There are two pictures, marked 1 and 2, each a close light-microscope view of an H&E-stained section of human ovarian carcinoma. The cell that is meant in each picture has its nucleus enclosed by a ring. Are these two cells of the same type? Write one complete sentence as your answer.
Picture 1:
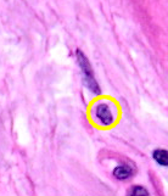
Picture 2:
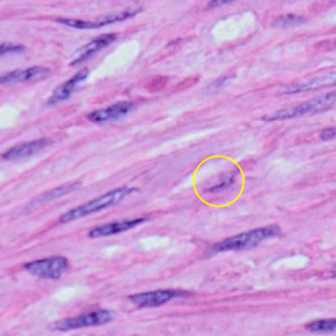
No, picture 1 shows a lymphocyte and picture 2 shows a fibroblast.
